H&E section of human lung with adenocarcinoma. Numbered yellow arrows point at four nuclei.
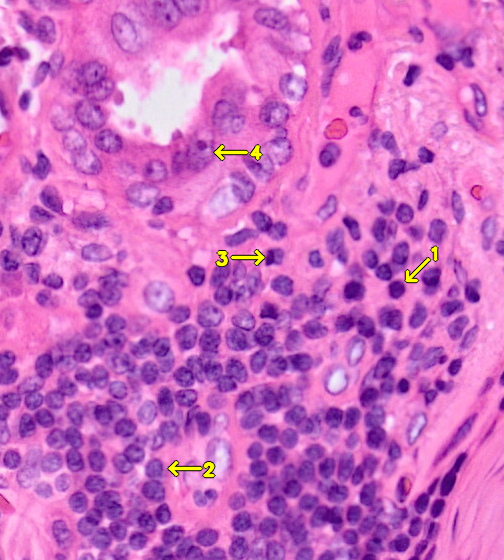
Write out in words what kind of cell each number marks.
Cell 1 is a lymphocyte, cell 2 is a lymphocyte, cell 3 is a lymphocyte and cell 4 is a carcinoma cell.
